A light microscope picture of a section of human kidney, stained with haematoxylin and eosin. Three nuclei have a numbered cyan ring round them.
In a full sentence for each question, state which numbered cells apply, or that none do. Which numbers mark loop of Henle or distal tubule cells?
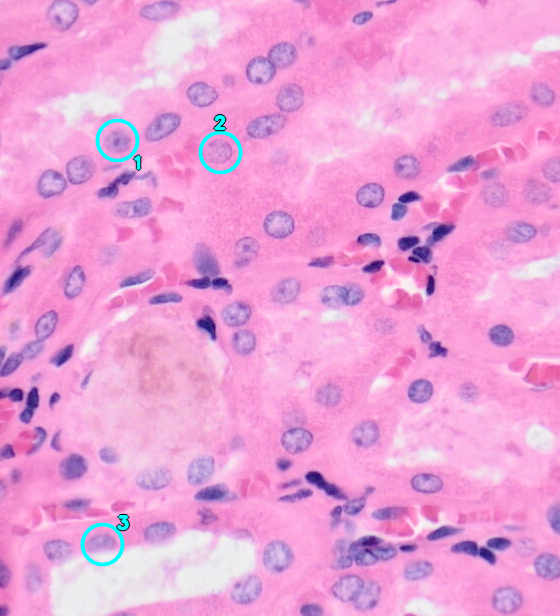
Of the cells marked with numbers, cell 3 is the only one that is a loop of Henle or distal tubule cell.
